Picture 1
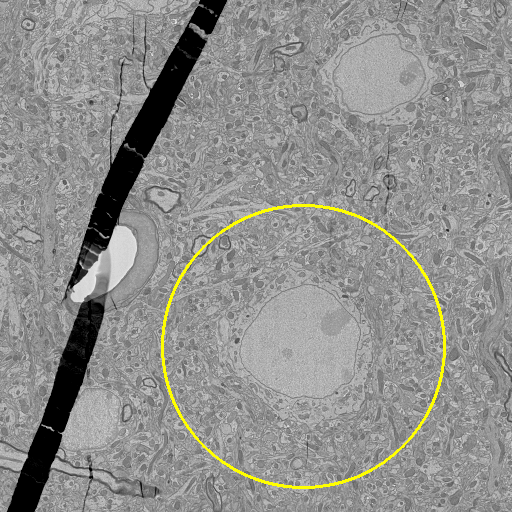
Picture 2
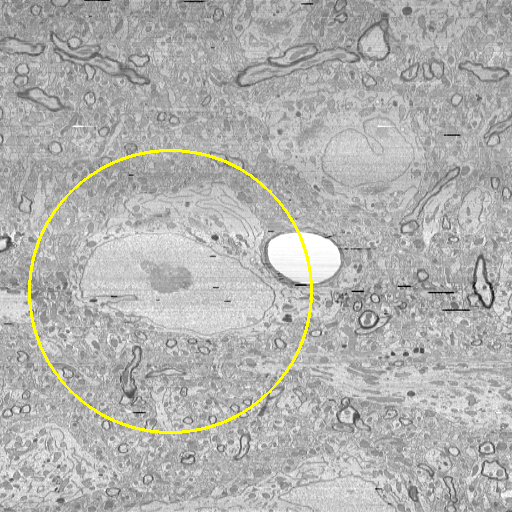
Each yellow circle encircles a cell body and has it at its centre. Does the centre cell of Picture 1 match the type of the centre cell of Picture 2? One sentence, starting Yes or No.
Yes, the cell centred in Picture 1 and the one in Picture 2 share a type.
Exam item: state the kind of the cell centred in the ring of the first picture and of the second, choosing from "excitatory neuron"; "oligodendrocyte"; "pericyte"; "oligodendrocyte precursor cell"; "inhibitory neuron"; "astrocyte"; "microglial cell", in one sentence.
Both the first and the second picture show an excitatory neuron in the ring.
